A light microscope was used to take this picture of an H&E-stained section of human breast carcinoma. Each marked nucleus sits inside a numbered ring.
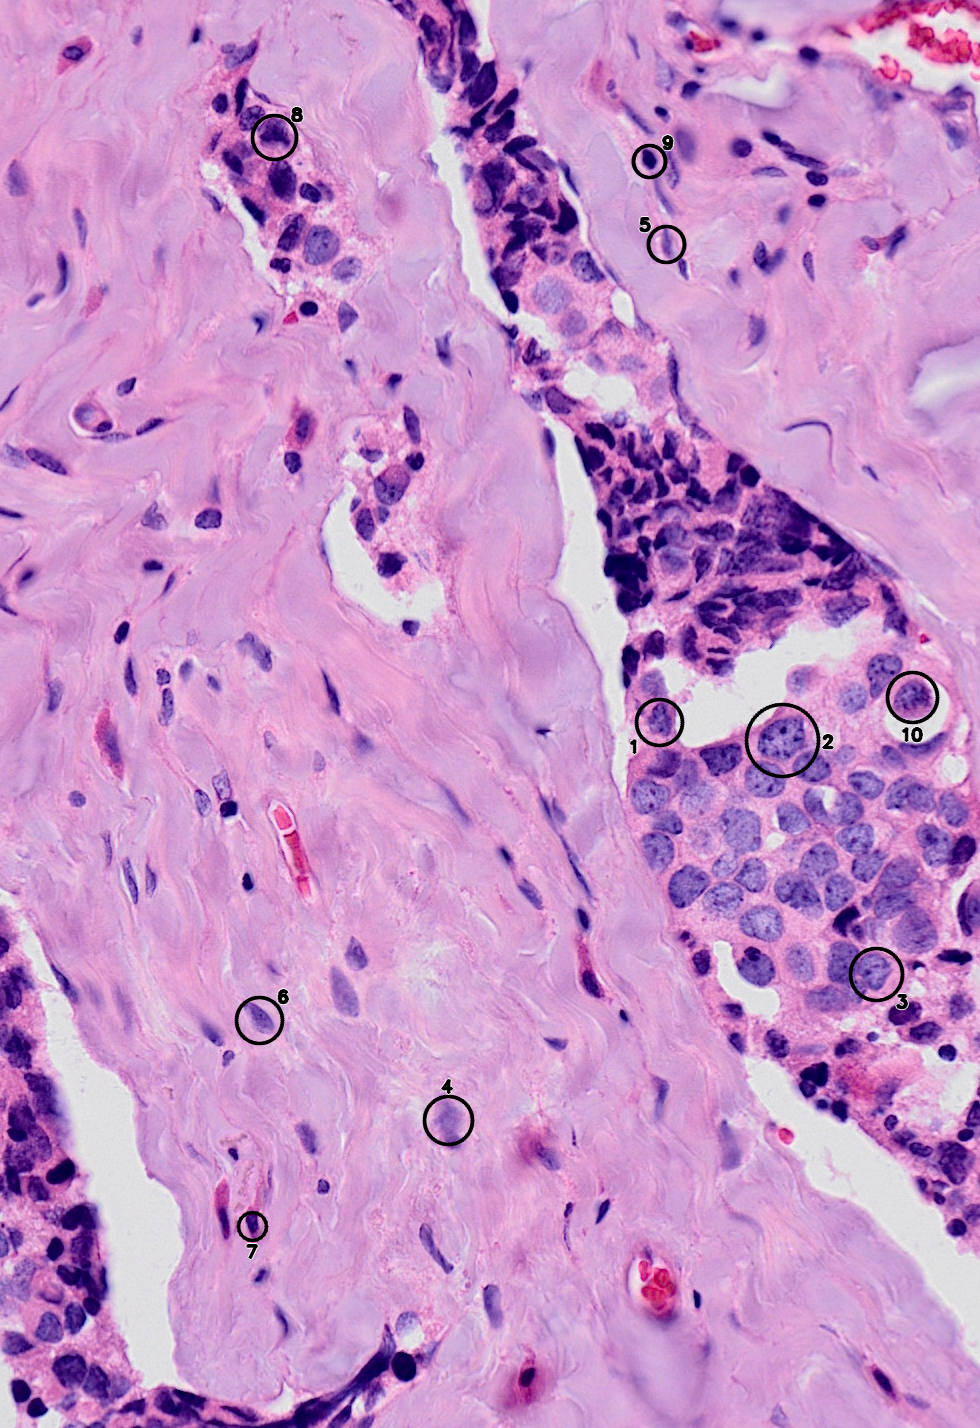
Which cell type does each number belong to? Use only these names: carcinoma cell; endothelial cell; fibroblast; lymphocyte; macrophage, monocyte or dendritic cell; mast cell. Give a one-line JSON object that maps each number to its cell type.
{"1": "carcinoma cell", "2": "carcinoma cell", "3": "carcinoma cell", "4": "fibroblast", "5": "fibroblast", "6": "fibroblast", "7": "mast cell", "8": "carcinoma cell", "9": "lymphocyte", "10": "carcinoma cell"}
